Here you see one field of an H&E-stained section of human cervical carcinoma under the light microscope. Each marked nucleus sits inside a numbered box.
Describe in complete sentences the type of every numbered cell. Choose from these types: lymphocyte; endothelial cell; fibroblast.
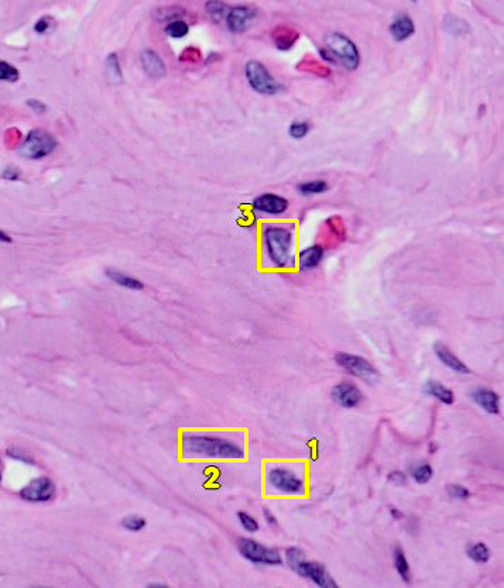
Cell 1 is a fibroblast, cell 2 is a fibroblast and cell 3 is an endothelial cell.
